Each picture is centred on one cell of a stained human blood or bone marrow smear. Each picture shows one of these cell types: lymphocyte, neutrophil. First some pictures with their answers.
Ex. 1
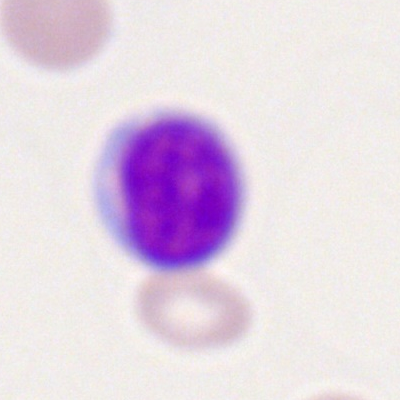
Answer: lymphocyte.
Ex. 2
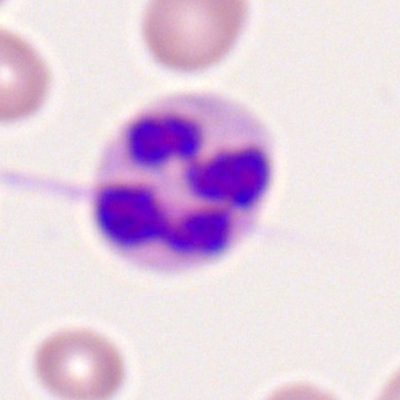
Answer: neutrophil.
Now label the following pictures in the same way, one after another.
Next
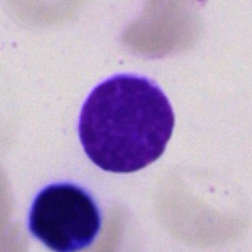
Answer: lymphocyte.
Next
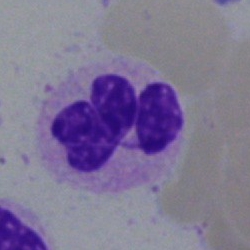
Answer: neutrophil.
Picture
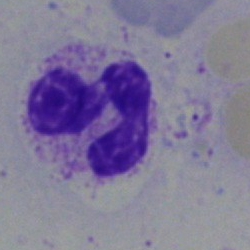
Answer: neutrophil.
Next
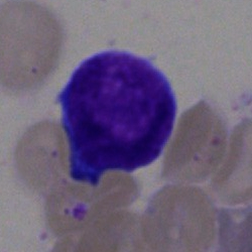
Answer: lymphocyte.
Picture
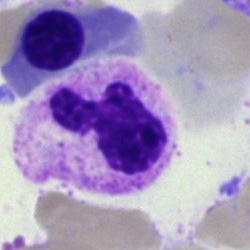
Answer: neutrophil.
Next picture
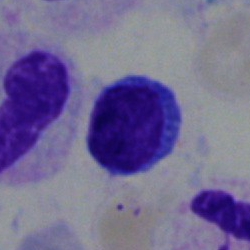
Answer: lymphocyte.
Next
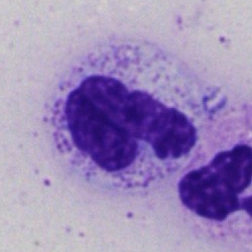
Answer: neutrophil.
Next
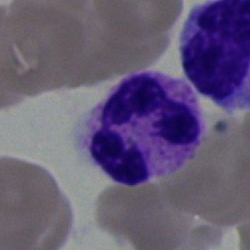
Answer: neutrophil.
